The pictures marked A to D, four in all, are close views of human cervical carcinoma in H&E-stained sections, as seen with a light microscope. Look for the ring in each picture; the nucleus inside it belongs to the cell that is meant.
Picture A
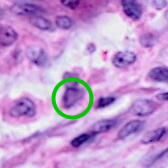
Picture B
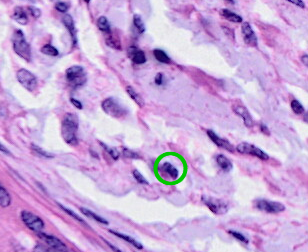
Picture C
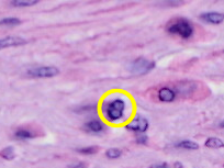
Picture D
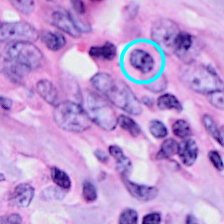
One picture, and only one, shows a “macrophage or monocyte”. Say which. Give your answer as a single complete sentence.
The cell in picture A is the “macrophage or monocyte”.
